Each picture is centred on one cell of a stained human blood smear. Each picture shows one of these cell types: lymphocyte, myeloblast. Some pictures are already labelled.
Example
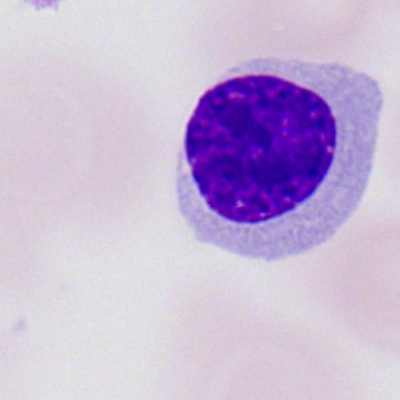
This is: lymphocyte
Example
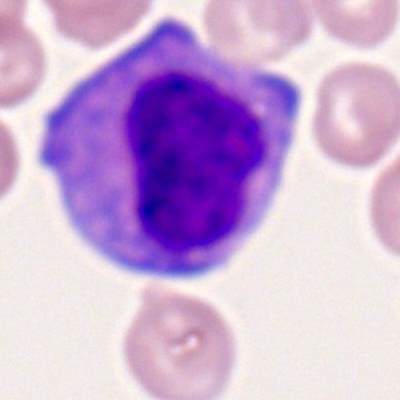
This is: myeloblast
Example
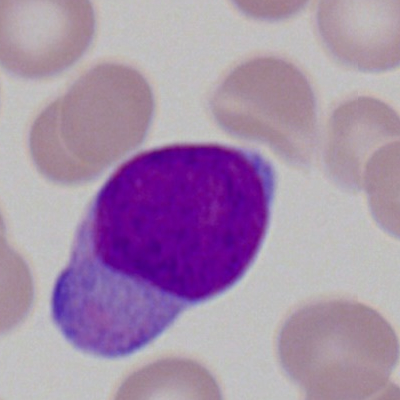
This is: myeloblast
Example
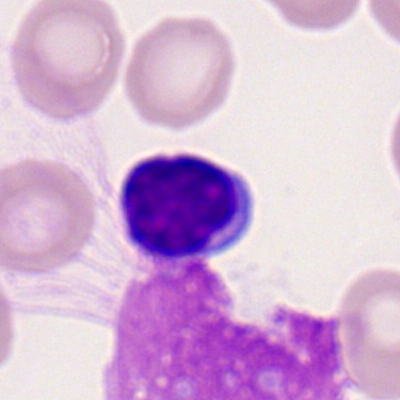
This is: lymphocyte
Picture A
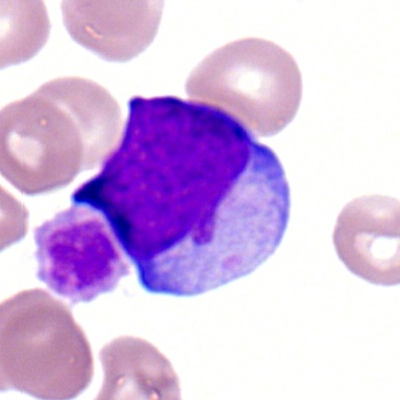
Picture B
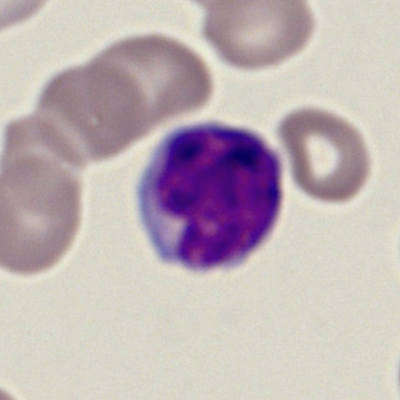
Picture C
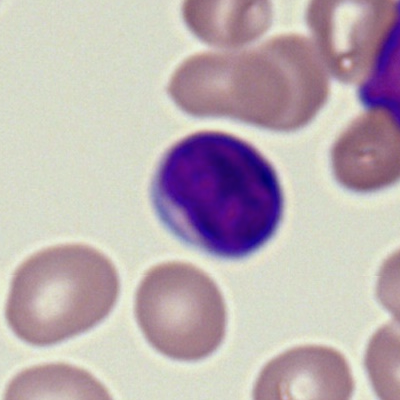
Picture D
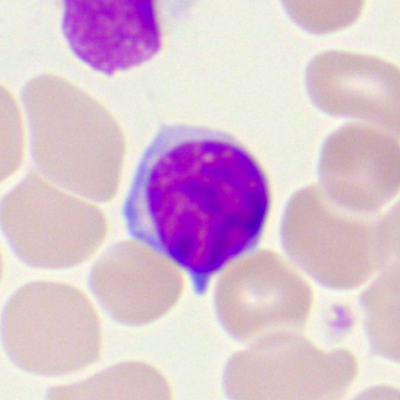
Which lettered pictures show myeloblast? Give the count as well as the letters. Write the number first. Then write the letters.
1: A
